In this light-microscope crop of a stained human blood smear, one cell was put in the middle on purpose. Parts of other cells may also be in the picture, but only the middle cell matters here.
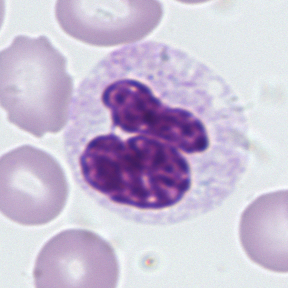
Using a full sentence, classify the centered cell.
Where the crop is centred, there is a segmented neutrophil.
